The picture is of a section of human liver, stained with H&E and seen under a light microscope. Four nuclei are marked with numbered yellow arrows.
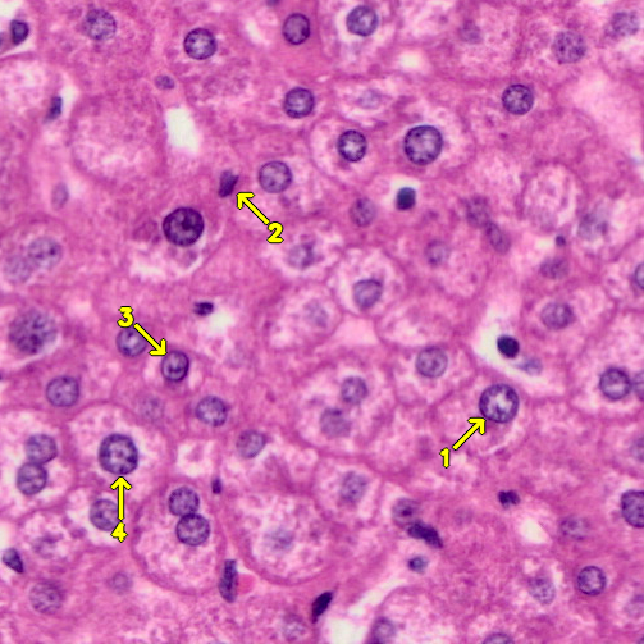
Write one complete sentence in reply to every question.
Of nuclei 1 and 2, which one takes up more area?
Nucleus 1 covers more area, about 3 times as much as nucleus 2.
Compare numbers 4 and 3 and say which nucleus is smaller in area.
Nucleus 3 is the smaller one; nucleus 4 covers about 2 times its area.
